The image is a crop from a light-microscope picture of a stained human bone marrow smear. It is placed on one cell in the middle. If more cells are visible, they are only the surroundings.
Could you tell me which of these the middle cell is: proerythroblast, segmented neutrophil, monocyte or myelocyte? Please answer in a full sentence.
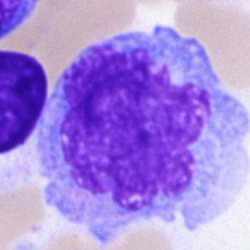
The cell at the heart of this crop is a monocyte.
